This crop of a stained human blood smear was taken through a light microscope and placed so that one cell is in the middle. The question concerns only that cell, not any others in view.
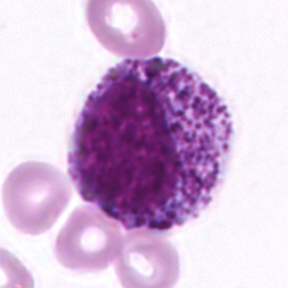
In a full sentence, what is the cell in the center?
The middle cell in this particular crop is a myelocyte.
